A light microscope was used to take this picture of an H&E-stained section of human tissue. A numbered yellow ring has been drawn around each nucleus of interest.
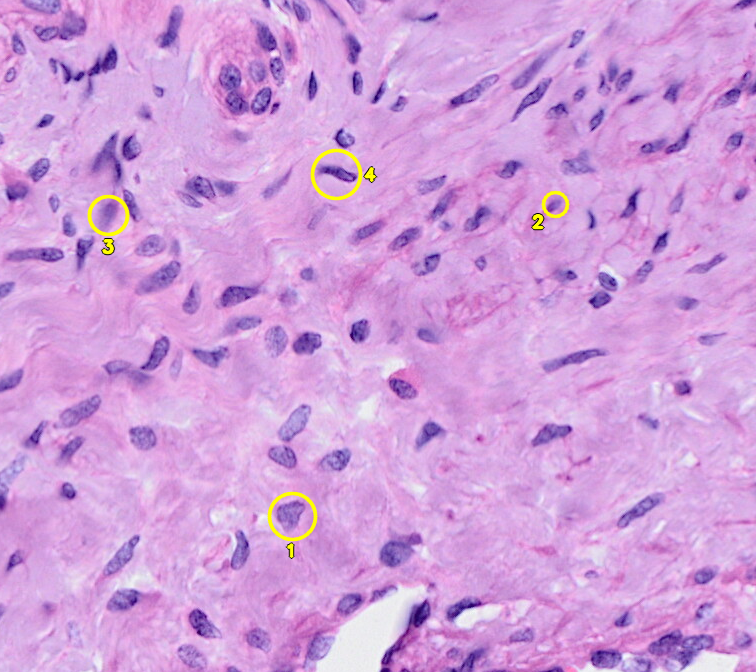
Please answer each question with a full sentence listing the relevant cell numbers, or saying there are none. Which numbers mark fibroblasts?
The cells with numbers 1, 3 and 4 are fibroblasts by type.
